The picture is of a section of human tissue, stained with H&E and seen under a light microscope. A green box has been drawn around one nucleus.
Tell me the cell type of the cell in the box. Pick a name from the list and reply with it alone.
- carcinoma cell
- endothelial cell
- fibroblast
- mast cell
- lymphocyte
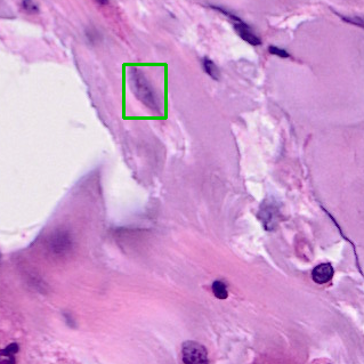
fibroblast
